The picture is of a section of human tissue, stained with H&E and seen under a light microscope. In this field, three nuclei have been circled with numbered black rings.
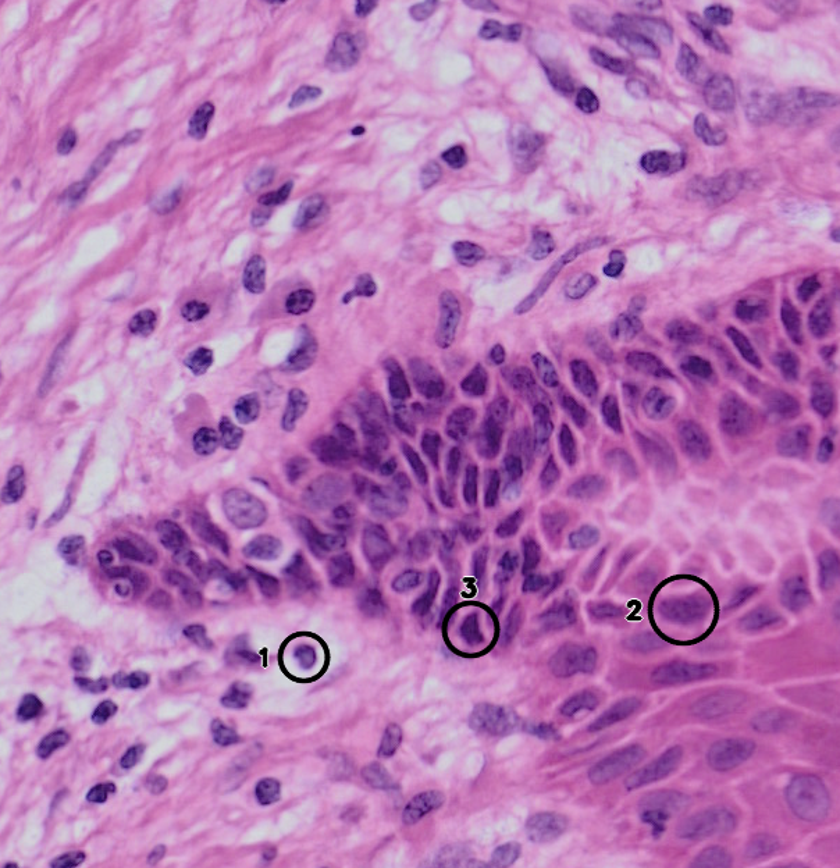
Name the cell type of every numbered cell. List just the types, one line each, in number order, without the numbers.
lymphocyte
keratinocyte
keratinocyte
